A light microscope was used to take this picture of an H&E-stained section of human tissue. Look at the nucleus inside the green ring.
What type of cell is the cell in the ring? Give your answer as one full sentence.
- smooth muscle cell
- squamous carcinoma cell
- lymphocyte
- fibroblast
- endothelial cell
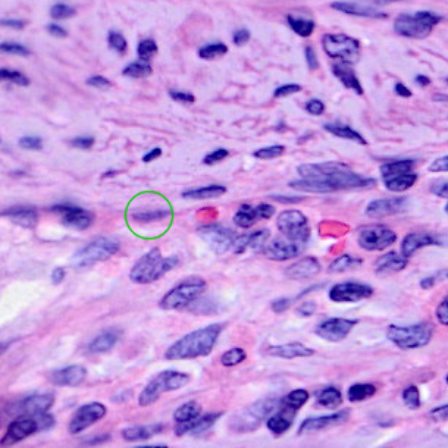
It is as an endothelial cell that the cell in the ring is classified.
